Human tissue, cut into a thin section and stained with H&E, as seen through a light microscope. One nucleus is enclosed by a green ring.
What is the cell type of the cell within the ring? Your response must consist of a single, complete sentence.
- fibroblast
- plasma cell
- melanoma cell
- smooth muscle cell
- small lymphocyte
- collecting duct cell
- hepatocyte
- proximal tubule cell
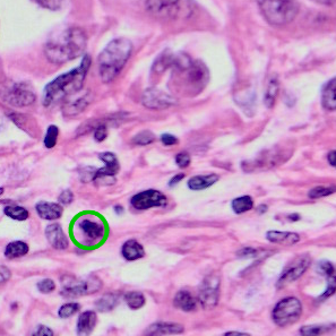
Histopathologically, the cell within the ring is a plasma cell.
